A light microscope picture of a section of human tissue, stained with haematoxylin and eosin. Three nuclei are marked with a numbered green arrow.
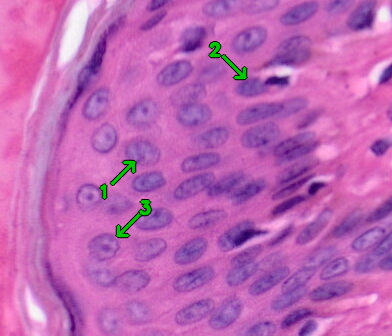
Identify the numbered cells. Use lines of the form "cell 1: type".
cell 1: suprabasal keratinocyte
cell 2: basal keratinocyte
cell 3: suprabasal keratinocyte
